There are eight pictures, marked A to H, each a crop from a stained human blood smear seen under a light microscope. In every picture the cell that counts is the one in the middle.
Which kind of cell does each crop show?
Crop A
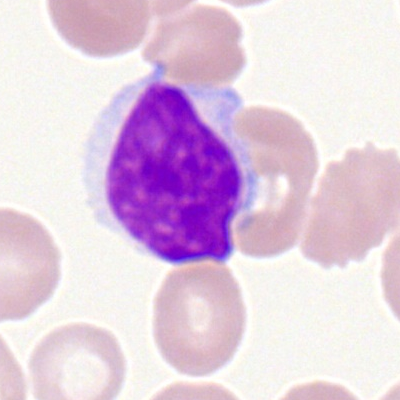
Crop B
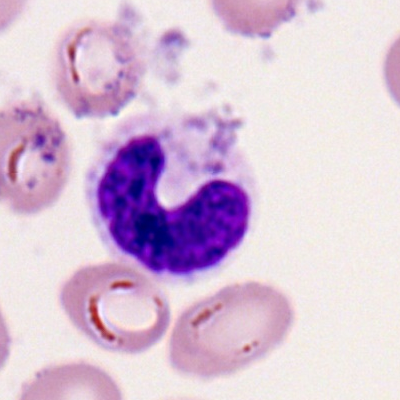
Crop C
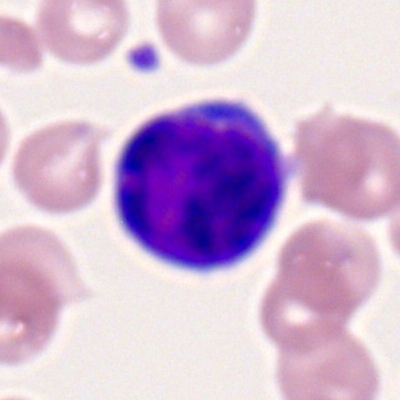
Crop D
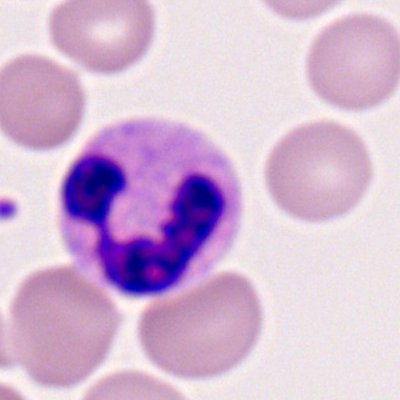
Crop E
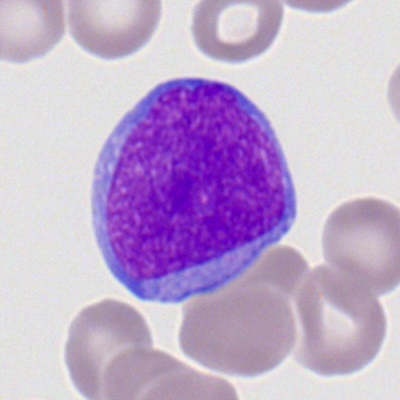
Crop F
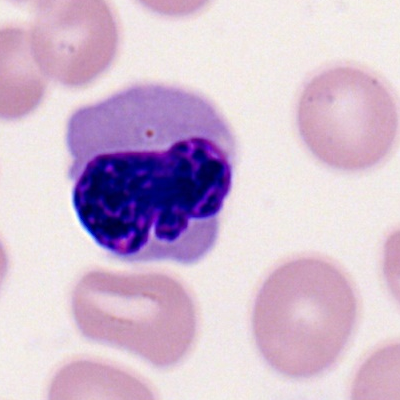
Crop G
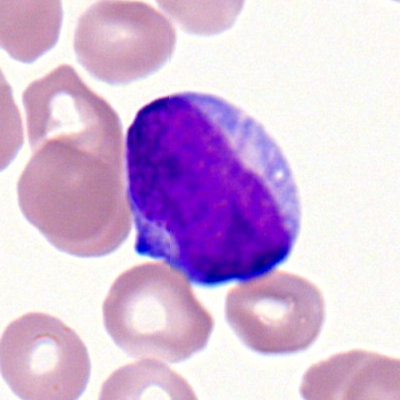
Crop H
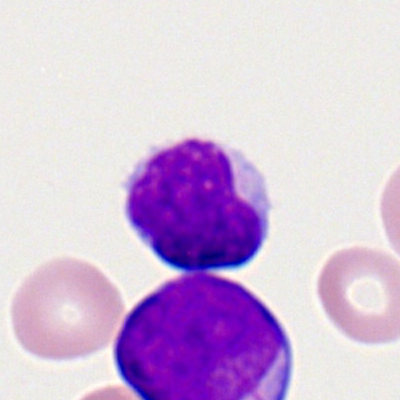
A: lymphocyte
B: band neutrophil
C: myeloblast
D: segmented neutrophil
E: myeloblast
F: erythroblast
G: myeloblast
H: lymphocyte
